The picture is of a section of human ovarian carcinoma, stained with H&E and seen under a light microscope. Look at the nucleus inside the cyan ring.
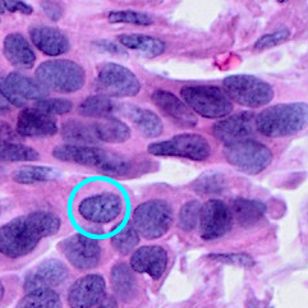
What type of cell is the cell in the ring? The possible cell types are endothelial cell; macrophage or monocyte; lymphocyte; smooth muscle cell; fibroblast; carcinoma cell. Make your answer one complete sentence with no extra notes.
The cell type of the cell in the ring is that of a carcinoma cell.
